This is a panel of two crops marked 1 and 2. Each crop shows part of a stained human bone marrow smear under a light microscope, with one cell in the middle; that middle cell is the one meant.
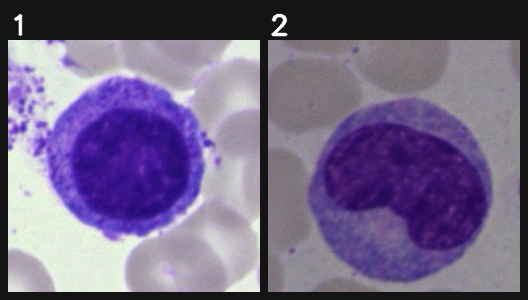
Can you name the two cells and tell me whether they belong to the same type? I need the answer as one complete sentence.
No, a myelocyte is what occupies crop 1, and a monocyte is what occupies crop 2.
